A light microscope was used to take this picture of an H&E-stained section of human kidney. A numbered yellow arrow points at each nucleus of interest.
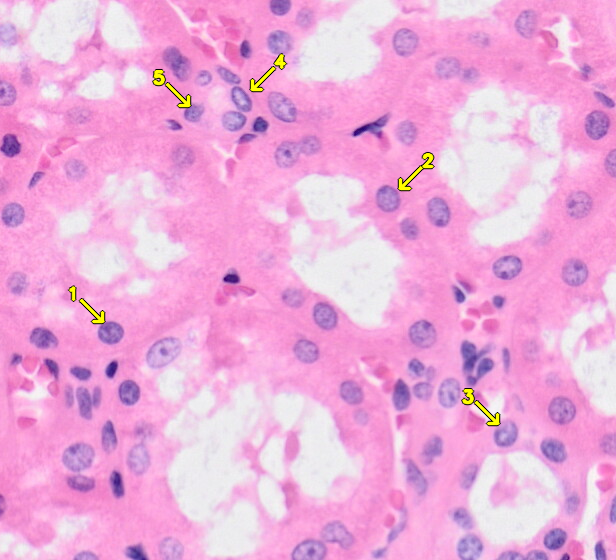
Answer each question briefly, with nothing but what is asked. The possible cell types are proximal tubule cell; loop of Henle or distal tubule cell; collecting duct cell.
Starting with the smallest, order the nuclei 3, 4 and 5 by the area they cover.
5, 4, 3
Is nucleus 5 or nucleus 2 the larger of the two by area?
2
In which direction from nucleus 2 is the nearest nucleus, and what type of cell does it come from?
a proximal tubule cell; below and to the right of nucleus 2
